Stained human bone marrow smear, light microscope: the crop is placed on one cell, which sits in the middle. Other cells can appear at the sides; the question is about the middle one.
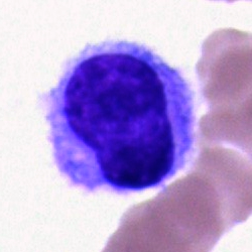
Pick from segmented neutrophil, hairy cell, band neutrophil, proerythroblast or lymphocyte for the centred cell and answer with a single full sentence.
Centred in the crop is a hairy cell.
